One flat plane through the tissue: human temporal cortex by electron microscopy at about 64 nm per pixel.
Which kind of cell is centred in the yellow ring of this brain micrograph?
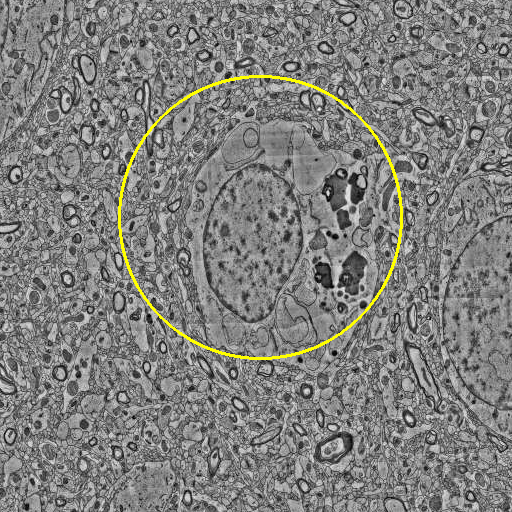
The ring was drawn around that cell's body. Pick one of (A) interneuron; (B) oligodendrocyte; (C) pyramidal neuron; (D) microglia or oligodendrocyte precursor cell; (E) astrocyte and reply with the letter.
E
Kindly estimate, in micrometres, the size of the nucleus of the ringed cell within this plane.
Approximately 10 by 6 micrometers, which makes the nucleus clearly longer than it is wide in this plane.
